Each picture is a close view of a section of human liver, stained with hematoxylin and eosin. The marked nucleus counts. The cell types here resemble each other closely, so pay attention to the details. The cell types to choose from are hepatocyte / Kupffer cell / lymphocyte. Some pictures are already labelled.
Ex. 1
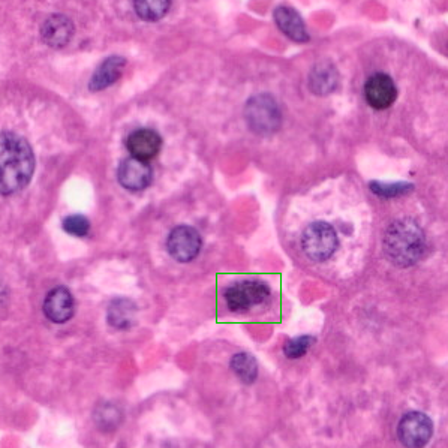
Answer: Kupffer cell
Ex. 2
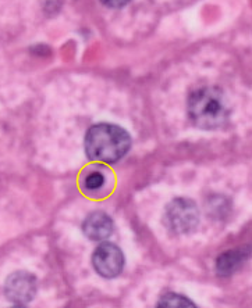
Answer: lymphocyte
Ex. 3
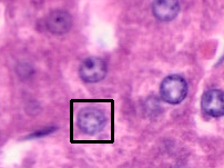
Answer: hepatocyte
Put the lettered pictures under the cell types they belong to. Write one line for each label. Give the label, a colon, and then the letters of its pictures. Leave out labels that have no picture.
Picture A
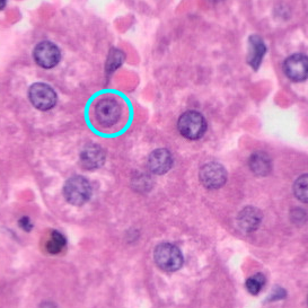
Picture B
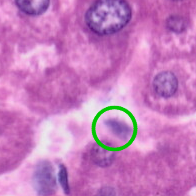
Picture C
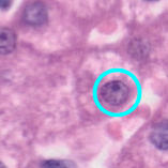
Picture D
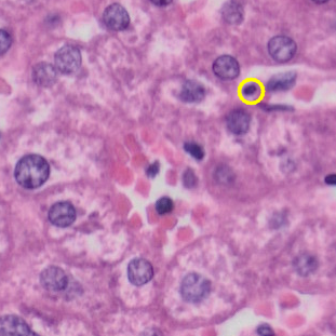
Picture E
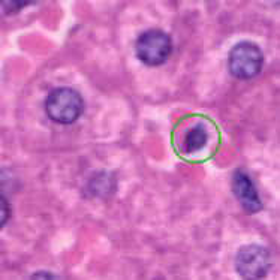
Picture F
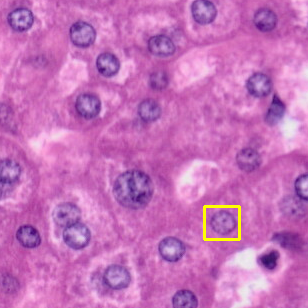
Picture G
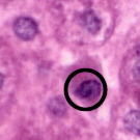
hepatocyte: A, C, F
Kupffer cell: B, G
lymphocyte: D, E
